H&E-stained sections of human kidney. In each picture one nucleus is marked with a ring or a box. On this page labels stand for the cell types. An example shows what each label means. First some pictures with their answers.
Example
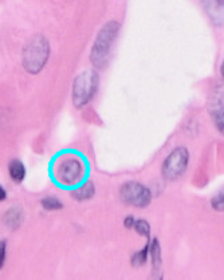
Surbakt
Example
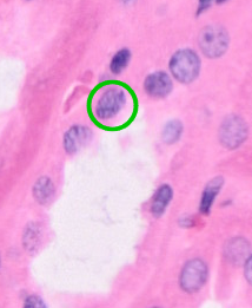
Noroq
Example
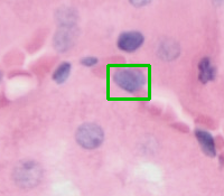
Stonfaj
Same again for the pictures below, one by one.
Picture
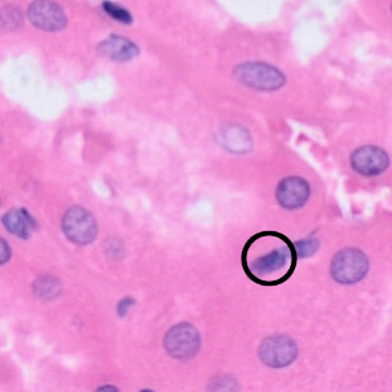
Stonfaj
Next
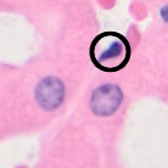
Stonfaj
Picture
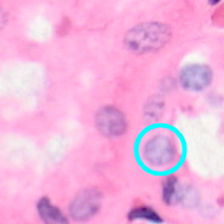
Surbakt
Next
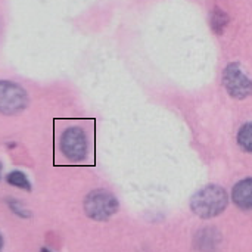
Noroq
